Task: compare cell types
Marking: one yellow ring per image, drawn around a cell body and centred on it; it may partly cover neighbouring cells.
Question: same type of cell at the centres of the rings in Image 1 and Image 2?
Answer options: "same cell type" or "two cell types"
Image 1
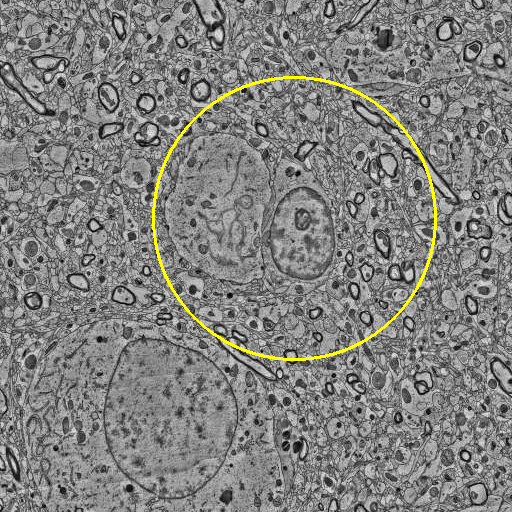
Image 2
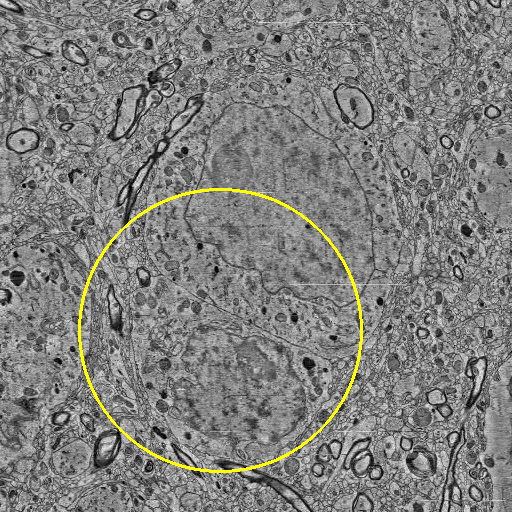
two cell types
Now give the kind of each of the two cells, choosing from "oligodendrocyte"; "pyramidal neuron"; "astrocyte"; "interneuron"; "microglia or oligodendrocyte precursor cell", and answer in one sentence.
The cell in the first picture is an oligodendrocyte, and the cell in the second is an interneuron.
